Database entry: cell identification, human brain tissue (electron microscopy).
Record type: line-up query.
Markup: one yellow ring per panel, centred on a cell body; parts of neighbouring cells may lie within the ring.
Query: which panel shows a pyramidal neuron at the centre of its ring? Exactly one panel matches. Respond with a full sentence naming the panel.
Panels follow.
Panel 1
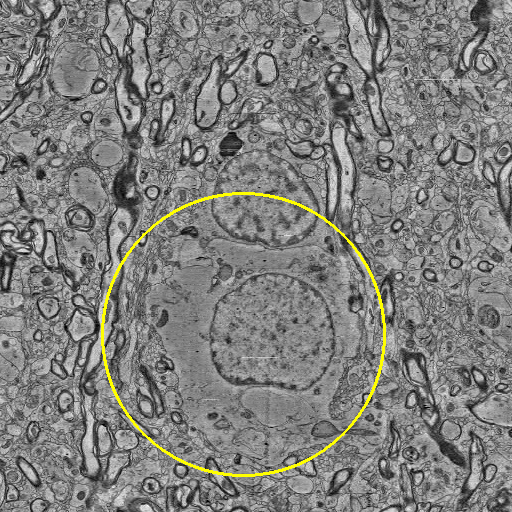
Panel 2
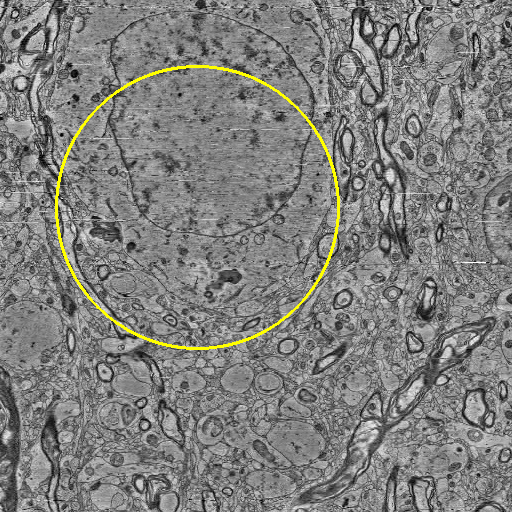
Panel 2 shows it at the centre of the ring.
